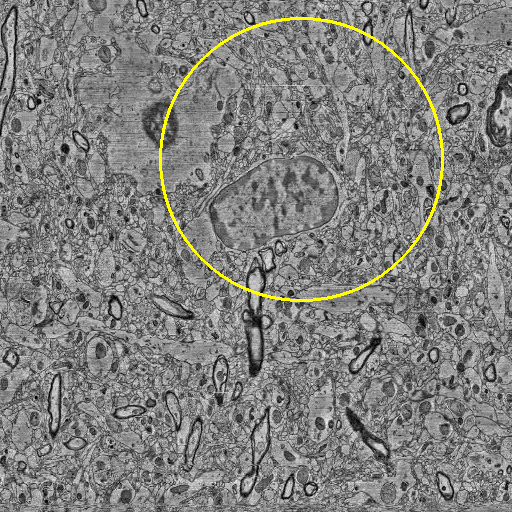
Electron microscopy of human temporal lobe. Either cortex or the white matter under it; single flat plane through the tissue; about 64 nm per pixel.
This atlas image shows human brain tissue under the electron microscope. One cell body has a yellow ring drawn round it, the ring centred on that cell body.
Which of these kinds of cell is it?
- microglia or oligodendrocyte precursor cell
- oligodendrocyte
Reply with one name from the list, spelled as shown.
microglia or oligodendrocyte precursor cell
